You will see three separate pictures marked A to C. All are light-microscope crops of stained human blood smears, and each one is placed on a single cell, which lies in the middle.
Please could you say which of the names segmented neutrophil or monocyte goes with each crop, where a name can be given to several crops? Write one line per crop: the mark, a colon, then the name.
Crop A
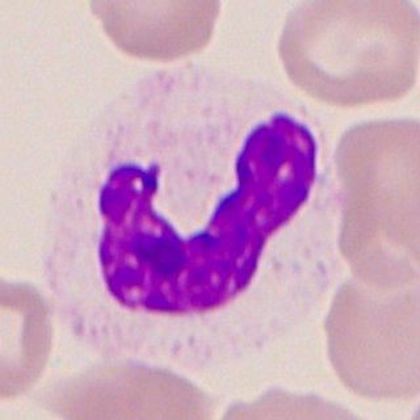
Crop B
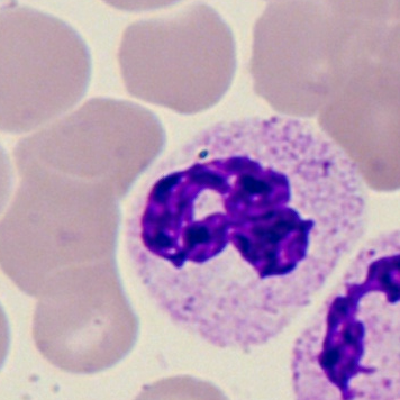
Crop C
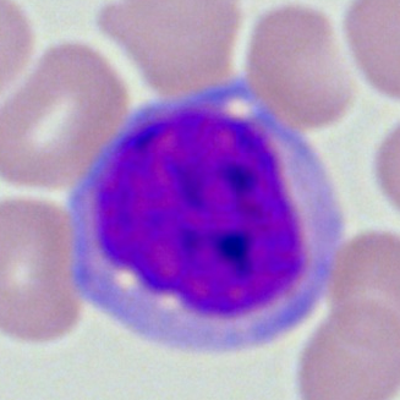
A: segmented neutrophil
B: segmented neutrophil
C: monocyte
